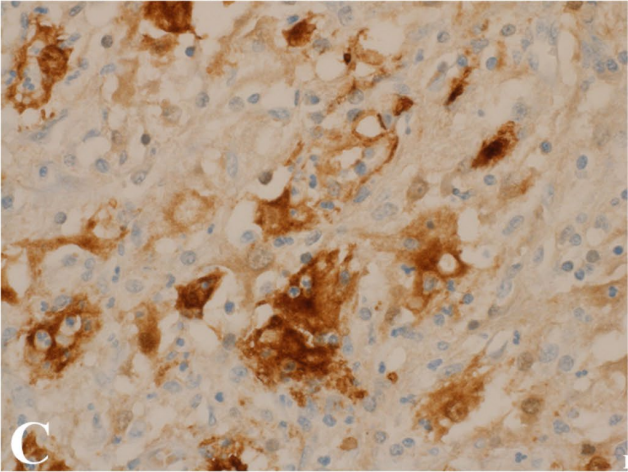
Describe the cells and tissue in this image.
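This is a section of a lesion in which scattered large histiocytes are stained brown, showing emperipolesis. The brown cells are big, with abundant cytoplasm and irregular, sometimes branching outlines. Within their cytoplasm lie clear rounded holes, several of which hold small intact cells, so the brown rim outlines the engulfed cells. Around them, most cells are unstained, with blue oval nuclei in a pale background.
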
